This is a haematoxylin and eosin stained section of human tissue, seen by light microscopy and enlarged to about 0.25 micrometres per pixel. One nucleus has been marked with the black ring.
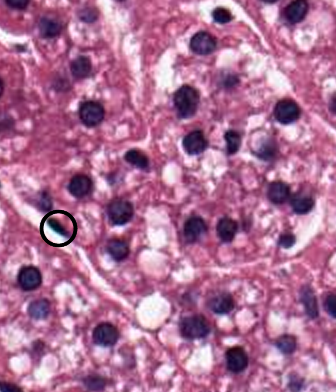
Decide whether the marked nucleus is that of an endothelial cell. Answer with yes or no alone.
yes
